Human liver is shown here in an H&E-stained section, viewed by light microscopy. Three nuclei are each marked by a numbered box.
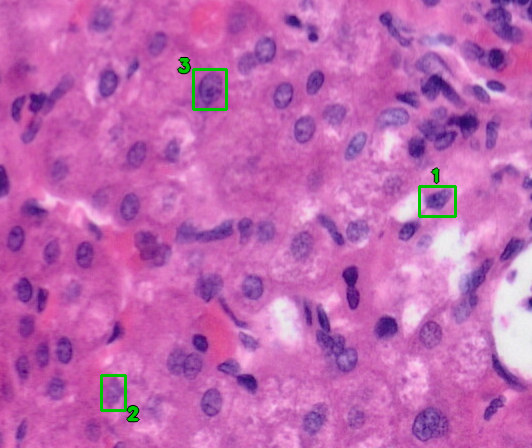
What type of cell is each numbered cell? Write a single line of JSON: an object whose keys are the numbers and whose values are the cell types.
{"1": "fibroblast or stellate cell", "2": "hepatocyte", "3": "hepatocyte"}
